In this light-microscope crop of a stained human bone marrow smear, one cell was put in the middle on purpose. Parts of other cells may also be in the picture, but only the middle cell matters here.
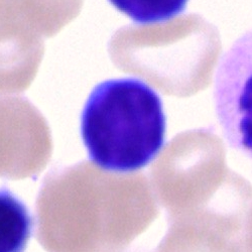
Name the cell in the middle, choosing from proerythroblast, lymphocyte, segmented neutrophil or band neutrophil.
lymphocyte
